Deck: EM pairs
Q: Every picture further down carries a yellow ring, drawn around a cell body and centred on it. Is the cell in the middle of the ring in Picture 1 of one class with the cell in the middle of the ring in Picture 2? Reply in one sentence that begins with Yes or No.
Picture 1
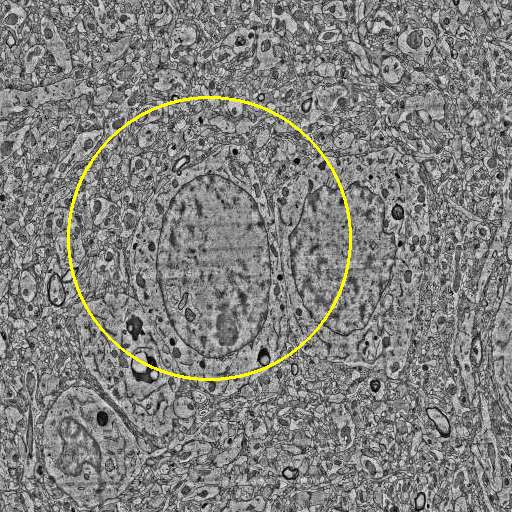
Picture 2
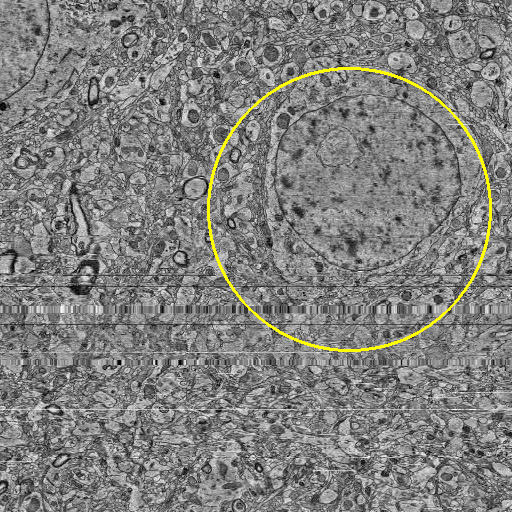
Yes, the cell centred in the ring of Picture 1 and the one in Picture 2 belong to one class.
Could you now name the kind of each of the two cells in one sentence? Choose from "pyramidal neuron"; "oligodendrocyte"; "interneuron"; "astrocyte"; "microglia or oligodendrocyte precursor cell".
Each of the two pictures has a pyramidal neuron at the ring centre.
